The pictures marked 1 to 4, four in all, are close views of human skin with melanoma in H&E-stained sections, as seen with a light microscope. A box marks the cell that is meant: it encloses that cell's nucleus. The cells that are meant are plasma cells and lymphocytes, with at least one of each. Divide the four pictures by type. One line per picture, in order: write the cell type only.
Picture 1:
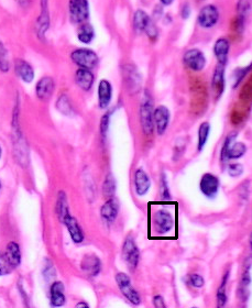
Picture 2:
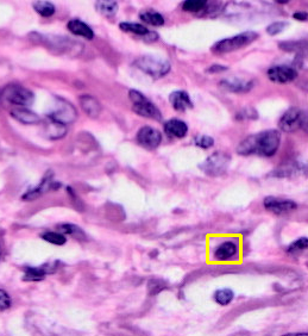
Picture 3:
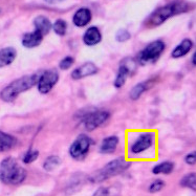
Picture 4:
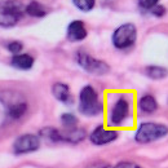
lymphocyte
plasma cell
lymphocyte
lymphocyte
